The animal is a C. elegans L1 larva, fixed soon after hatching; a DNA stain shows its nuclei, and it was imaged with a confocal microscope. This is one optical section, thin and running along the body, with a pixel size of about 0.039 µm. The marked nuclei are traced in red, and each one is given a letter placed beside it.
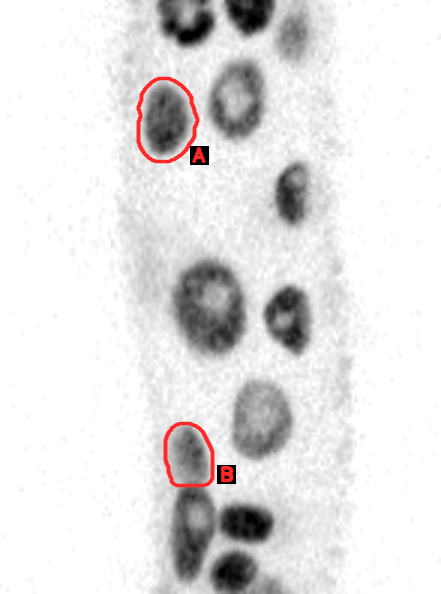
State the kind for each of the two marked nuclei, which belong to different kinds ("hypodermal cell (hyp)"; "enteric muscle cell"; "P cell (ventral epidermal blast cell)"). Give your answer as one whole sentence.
A belongs to a P cell (ventral epidermal blast cell) and B to an enteric muscle cell.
